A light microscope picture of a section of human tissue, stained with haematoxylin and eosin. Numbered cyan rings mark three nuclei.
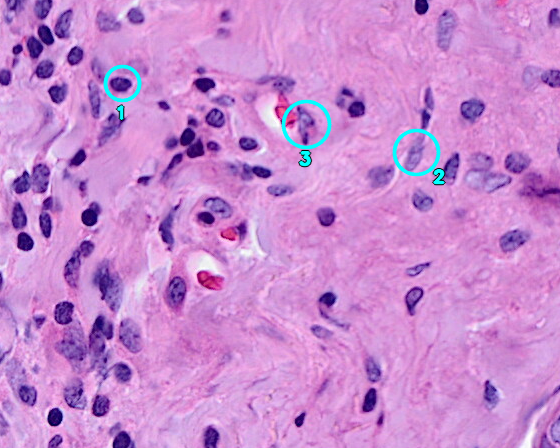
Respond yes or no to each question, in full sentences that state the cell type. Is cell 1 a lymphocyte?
Yes, it is a lymphocyte that carries the number 1.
